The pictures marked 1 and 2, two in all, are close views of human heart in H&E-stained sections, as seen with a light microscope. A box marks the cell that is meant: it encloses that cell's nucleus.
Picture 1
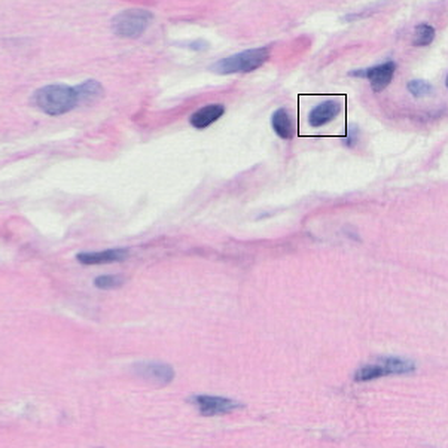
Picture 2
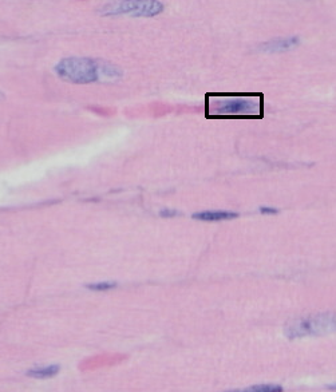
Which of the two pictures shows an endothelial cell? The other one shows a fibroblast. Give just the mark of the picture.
2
